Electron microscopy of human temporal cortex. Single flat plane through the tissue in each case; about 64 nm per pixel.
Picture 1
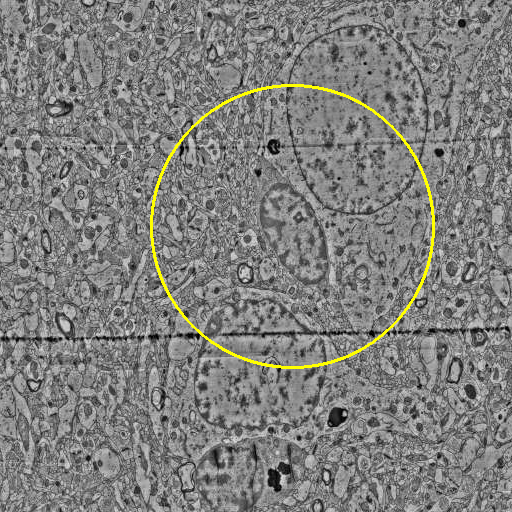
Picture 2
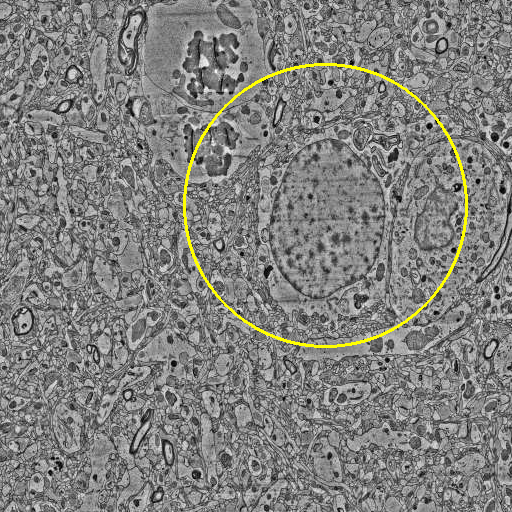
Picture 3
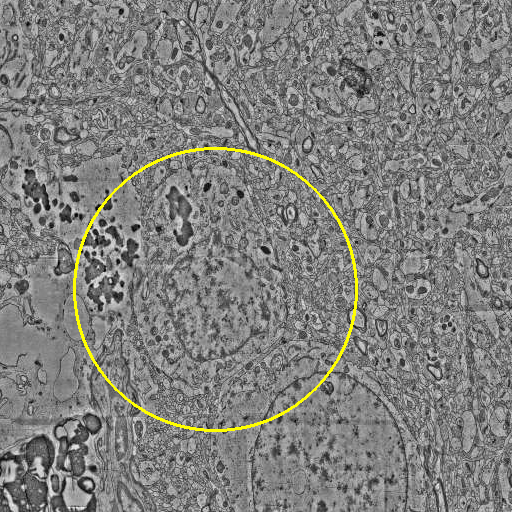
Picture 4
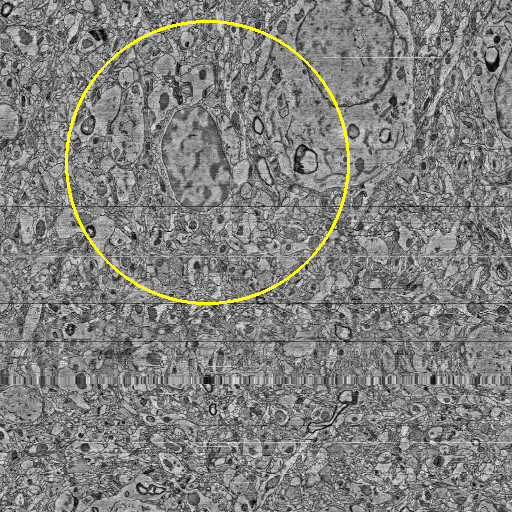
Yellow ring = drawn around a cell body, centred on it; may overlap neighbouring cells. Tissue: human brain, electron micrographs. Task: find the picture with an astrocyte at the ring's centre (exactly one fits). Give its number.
2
